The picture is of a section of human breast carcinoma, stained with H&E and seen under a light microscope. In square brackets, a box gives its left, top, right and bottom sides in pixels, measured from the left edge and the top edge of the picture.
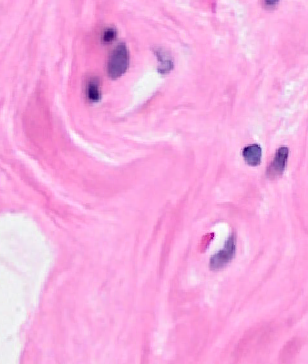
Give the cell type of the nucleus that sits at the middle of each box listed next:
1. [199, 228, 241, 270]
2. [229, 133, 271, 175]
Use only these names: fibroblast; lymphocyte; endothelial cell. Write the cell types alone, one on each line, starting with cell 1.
endothelial cell
lymphocyte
